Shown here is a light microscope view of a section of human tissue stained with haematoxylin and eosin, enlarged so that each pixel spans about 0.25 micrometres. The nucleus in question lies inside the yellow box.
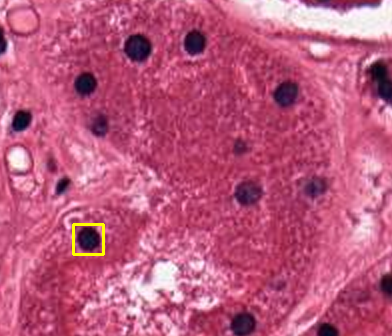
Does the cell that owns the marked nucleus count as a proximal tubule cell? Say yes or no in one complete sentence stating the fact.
Yes, what is marked here is the nucleus of a proximal tubule cell.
